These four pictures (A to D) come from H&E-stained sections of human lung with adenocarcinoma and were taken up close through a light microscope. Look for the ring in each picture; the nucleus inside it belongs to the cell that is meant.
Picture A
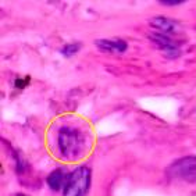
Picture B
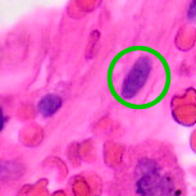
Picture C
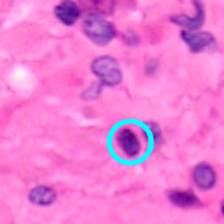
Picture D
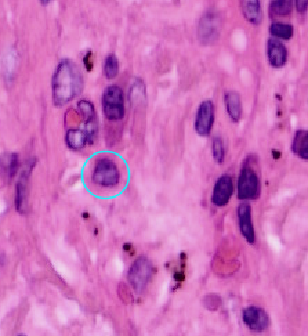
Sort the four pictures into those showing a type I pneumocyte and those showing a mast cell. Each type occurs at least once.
A: mast cell
B: type I pneumocyte
C: mast cell
D: mast cell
